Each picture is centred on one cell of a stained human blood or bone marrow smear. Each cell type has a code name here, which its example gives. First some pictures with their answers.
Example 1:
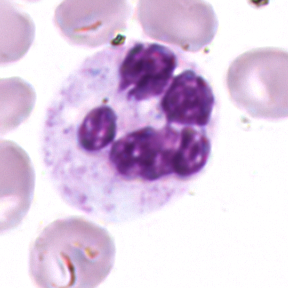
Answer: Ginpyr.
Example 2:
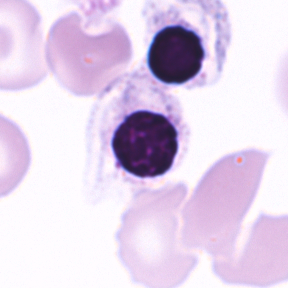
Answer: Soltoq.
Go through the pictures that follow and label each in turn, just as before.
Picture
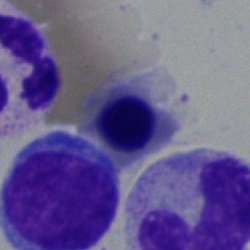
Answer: Soltoq.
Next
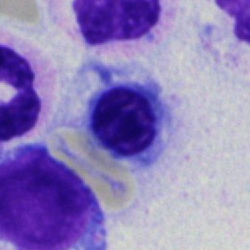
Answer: Soltoq.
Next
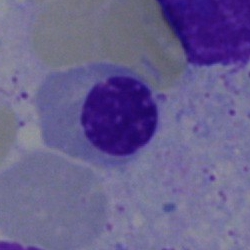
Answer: Soltoq.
